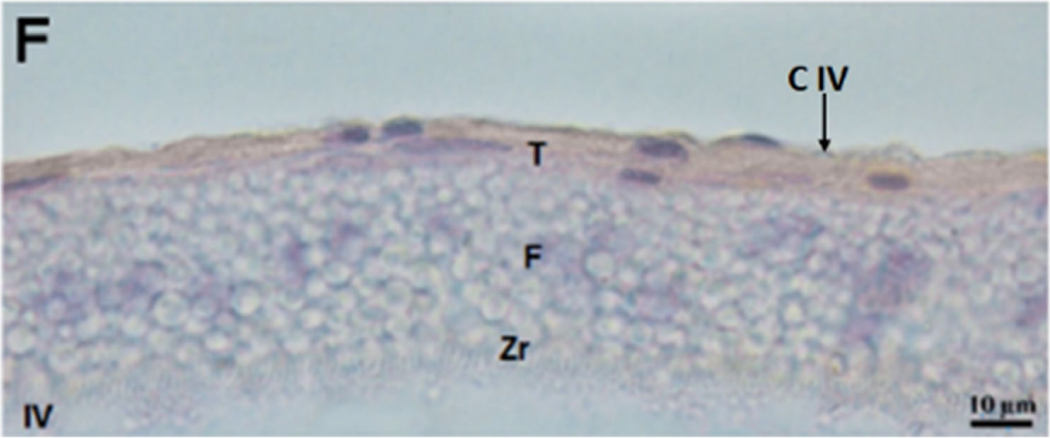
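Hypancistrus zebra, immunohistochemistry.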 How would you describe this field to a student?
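This is the envelope of a large fish oocyte at high magnification, with the theca on its outer surface. The theca is a thin, faintly brownish layer along the top edge, holding scattered flattened, dark purple, elongated nuclei. Below it lies a broad, pale layer full of small round, bubbly profiles. Deeper still is a finely striated band running parallel to the surface, the zona radiata, bordering the oocyte.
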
